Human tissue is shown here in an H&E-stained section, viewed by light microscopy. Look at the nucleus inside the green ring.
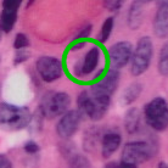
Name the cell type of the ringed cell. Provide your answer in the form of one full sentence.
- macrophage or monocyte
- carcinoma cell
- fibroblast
Right, so the ringed cell is a carcinoma cell, to answer that.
